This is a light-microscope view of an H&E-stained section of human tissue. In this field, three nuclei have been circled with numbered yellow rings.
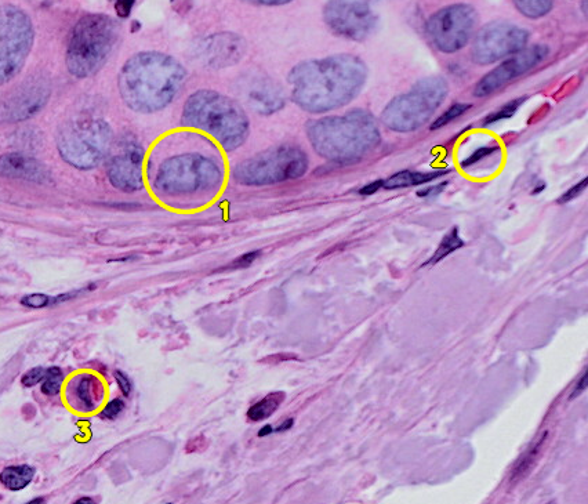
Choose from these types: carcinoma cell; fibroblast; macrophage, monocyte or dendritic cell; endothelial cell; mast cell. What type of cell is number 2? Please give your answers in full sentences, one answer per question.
The cell to which the number 2 is assigned is an endothelial cell.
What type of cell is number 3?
Identified by the number 3, the cell is an endothelial cell.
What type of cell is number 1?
The cell referred to as 1 is a carcinoma cell.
